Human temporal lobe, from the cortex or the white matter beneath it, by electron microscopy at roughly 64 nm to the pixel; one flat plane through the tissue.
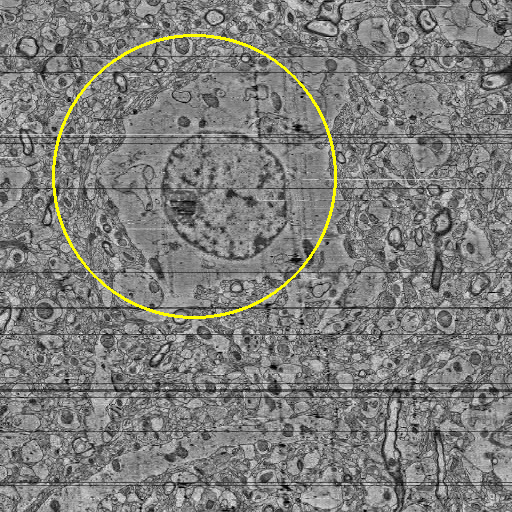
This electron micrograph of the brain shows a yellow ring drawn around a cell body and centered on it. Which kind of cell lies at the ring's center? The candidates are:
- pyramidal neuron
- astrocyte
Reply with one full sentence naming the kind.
The cell lying at the ring's center in this micrograph is an astrocyte.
